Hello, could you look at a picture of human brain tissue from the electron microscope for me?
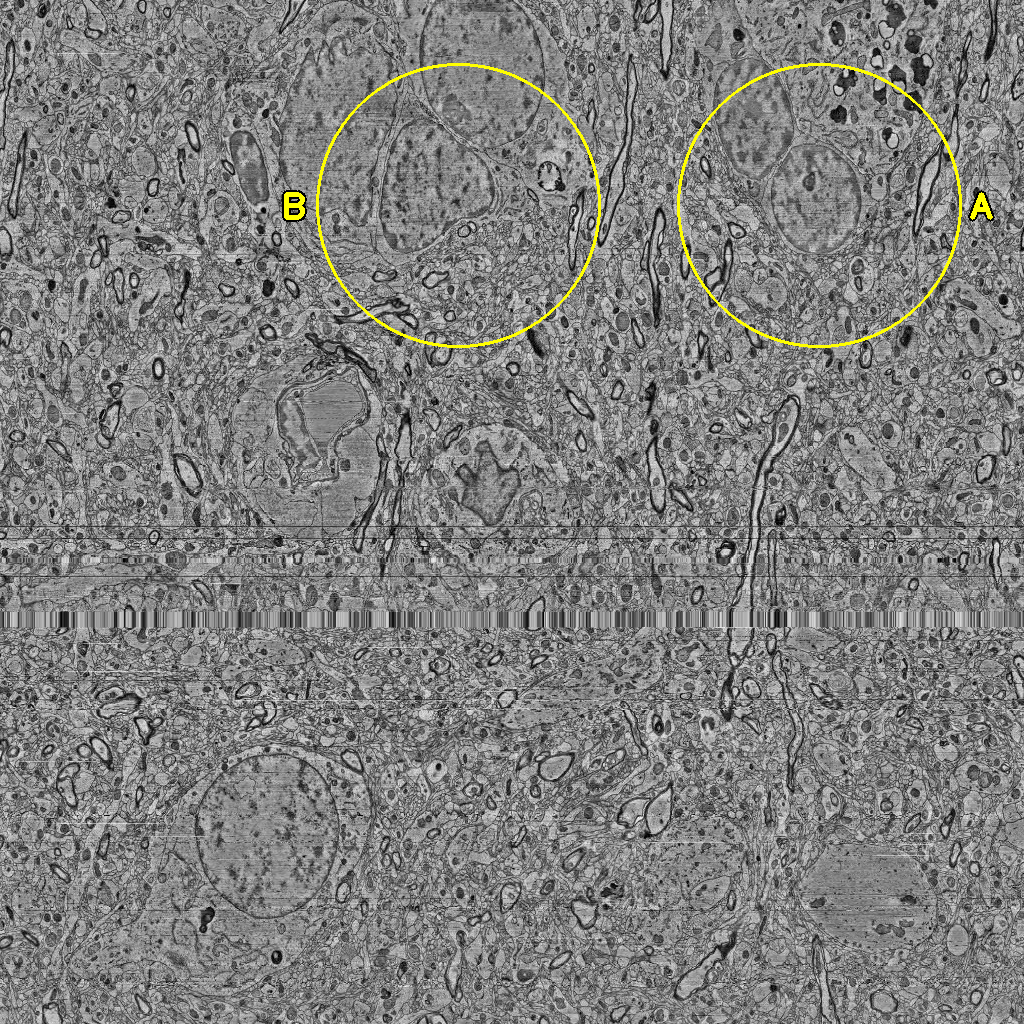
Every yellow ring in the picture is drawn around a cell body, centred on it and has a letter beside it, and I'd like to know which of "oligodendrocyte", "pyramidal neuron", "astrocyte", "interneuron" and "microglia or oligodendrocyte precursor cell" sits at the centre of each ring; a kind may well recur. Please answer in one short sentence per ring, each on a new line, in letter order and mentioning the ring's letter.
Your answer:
The cell sitting at the centre of ring A is an oligodendrocyte.
The cell sitting at the centre of ring B is a microglial cell or oligodendrocyte precursor cell.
